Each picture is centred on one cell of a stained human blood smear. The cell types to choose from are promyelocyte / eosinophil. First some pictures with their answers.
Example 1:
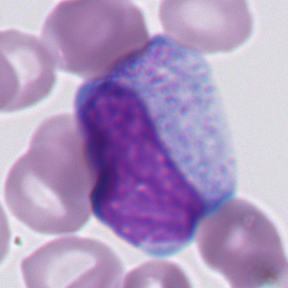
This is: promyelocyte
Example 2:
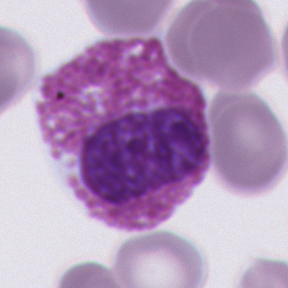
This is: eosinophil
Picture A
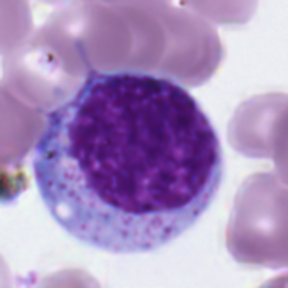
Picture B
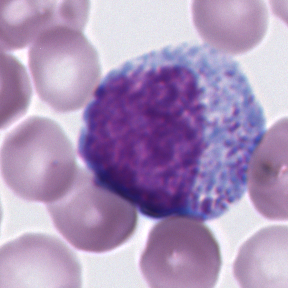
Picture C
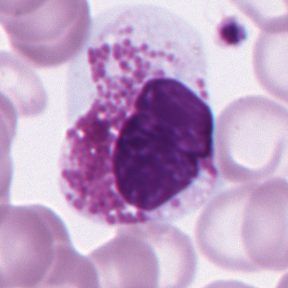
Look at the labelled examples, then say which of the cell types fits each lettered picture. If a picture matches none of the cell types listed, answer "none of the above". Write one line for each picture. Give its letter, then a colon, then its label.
A: promyelocyte
B: promyelocyte
C: eosinophil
